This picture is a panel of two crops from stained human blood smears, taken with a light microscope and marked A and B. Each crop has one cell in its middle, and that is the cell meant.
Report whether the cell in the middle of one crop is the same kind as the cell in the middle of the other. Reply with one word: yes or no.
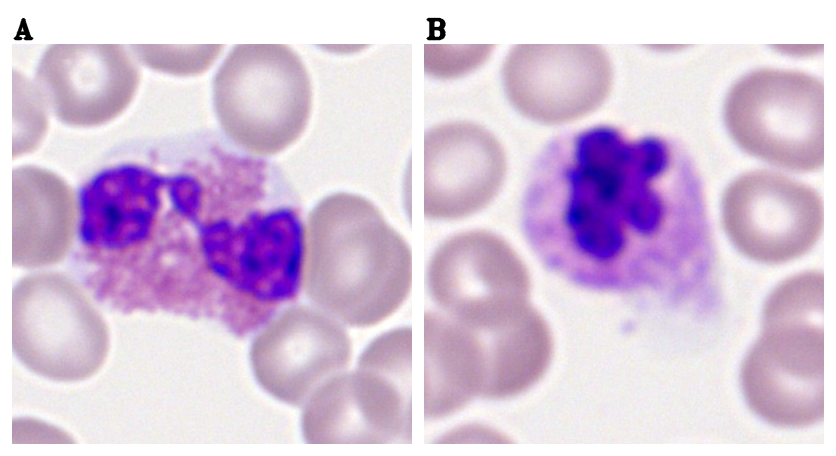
no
